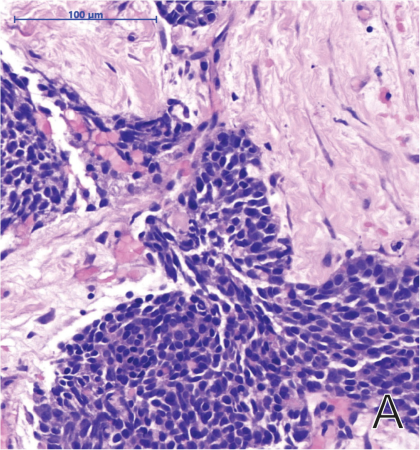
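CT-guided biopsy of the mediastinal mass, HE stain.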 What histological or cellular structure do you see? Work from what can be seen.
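Tumor islands. Dense nests of crowded dark-blue cells. Nests separated by pale pink collagenous stroma.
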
